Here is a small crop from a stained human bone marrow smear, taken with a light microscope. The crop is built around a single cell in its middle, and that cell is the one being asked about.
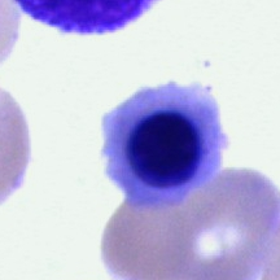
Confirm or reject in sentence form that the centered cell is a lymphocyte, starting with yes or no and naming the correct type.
No, the cell found centrally in the crop is an erythroblast, not a lymphocyte.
